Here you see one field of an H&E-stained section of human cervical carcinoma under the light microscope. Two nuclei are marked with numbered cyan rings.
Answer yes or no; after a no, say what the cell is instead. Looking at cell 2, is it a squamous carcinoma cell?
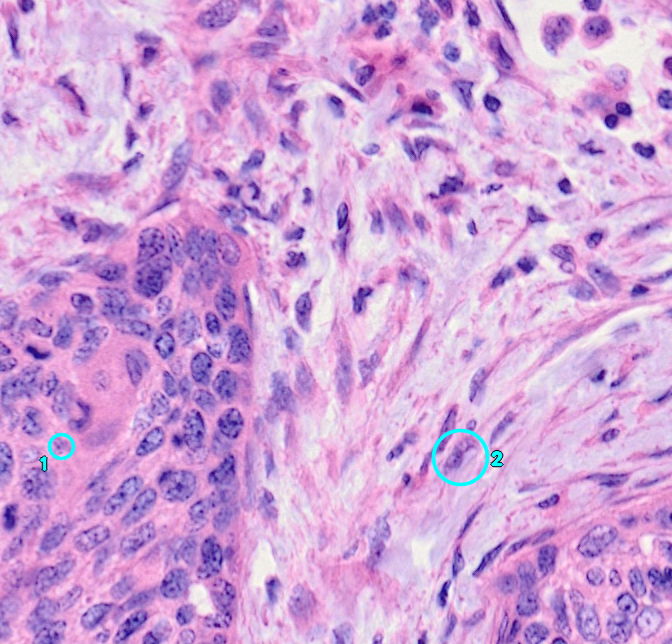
No, it is a fibroblast.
